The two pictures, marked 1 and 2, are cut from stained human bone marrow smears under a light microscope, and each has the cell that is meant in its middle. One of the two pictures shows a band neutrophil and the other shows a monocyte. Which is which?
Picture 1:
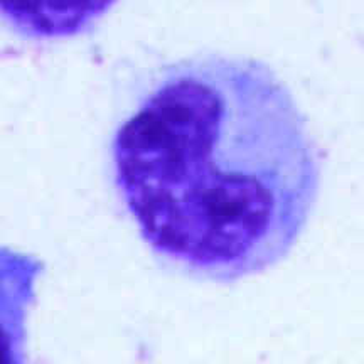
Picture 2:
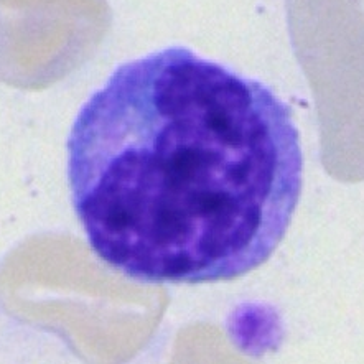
1: band neutrophil
2: monocyte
